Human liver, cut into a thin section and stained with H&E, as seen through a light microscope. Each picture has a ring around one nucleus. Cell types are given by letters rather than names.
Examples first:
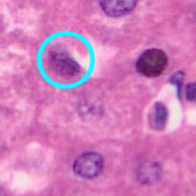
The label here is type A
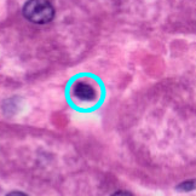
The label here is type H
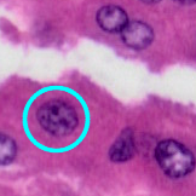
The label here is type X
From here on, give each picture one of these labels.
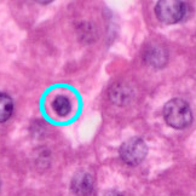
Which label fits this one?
type H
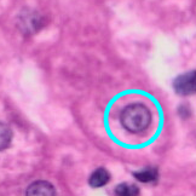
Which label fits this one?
type X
